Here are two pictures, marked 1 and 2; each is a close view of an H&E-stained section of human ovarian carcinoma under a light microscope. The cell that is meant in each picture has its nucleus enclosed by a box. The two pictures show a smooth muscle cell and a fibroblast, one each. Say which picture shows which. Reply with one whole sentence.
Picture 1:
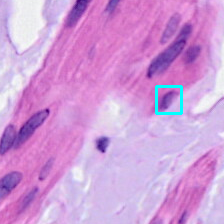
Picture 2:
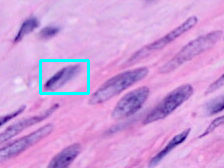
Picture 1 shows a smooth muscle cell and picture 2 shows a fibroblast.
